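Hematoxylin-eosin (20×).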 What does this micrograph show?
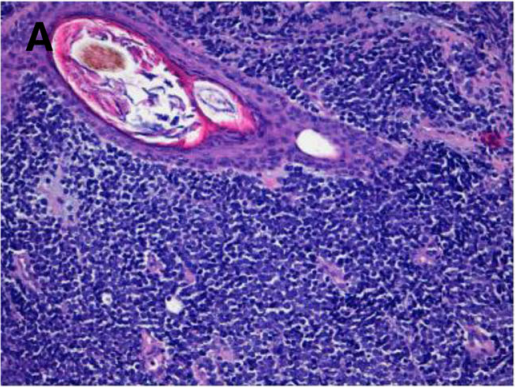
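A dense infiltrate of small, dark blue round cells in solid sheets fills the field around a stratified epithelial structure containing pink, lamellated keratin material. The cells have scant cytoplasm and crowded nuclei, with a few small vessels scattered among them.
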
